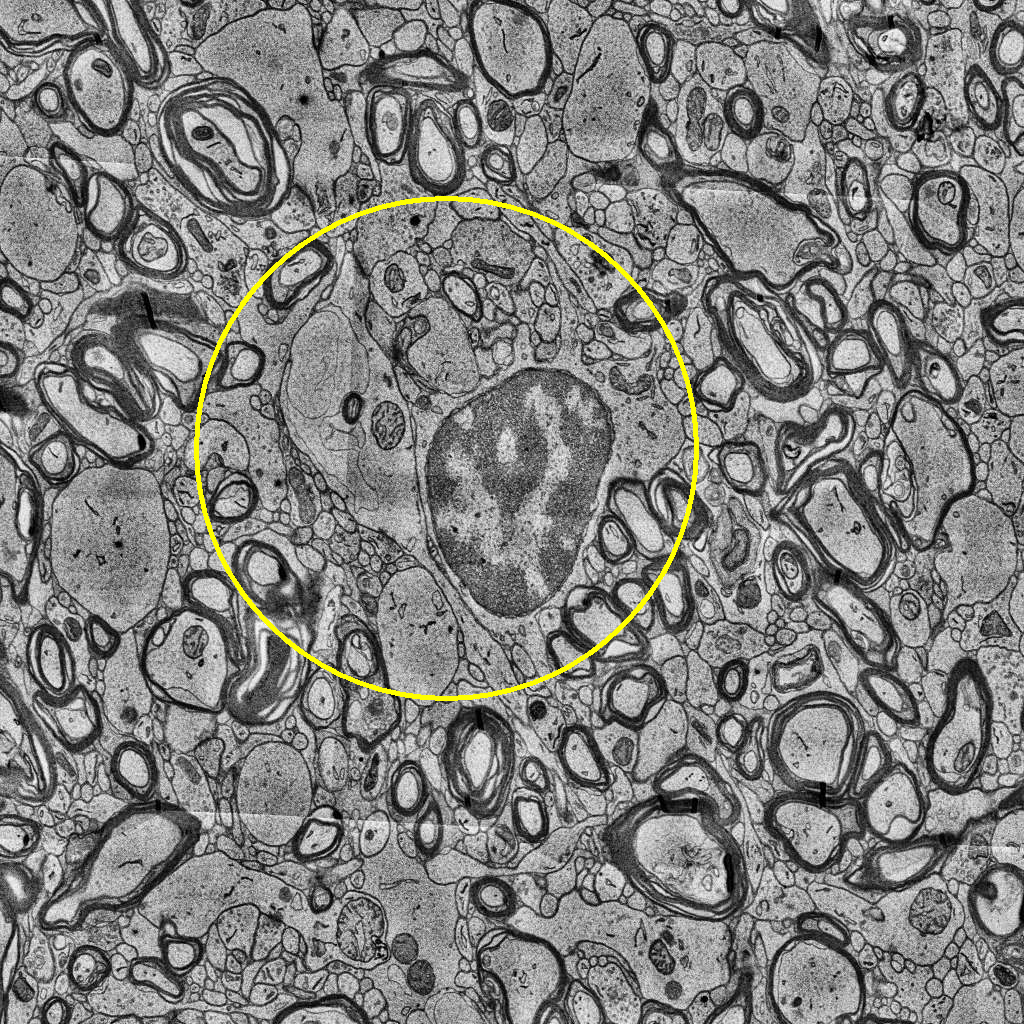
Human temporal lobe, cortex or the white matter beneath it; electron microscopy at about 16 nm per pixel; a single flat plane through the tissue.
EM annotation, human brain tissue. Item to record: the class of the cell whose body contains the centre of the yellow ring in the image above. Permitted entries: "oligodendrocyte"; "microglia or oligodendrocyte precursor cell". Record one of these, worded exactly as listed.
microglia or oligodendrocyte precursor cell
